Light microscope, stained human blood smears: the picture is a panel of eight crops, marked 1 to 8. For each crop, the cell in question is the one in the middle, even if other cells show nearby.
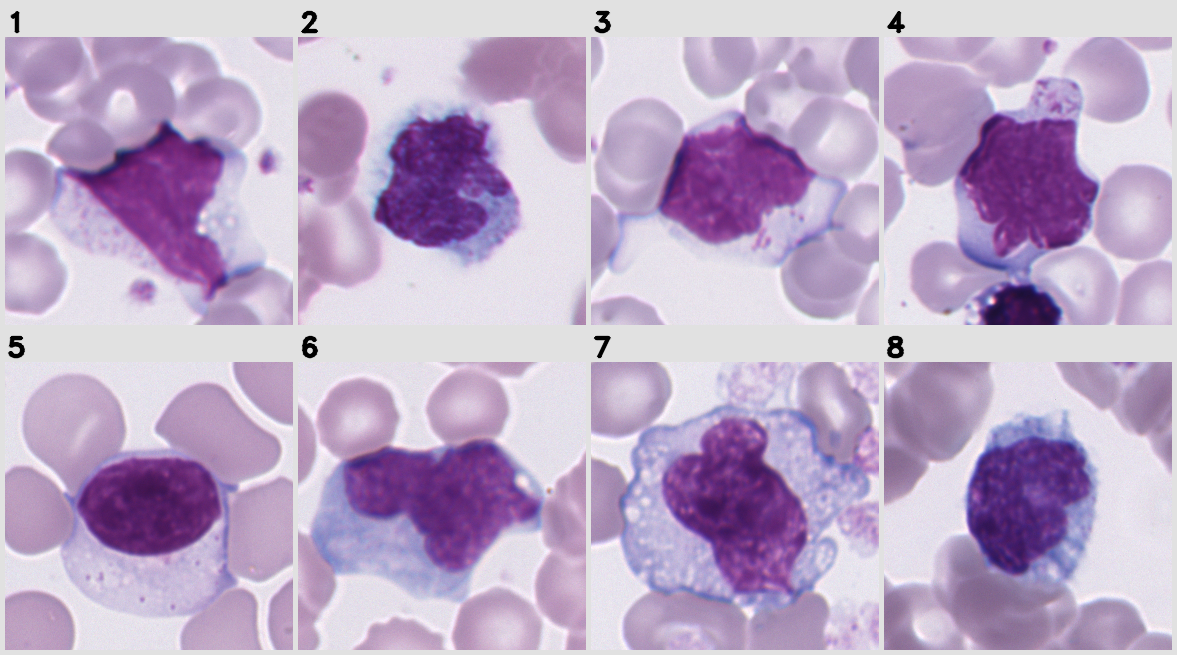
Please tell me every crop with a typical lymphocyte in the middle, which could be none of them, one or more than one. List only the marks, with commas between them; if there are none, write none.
none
